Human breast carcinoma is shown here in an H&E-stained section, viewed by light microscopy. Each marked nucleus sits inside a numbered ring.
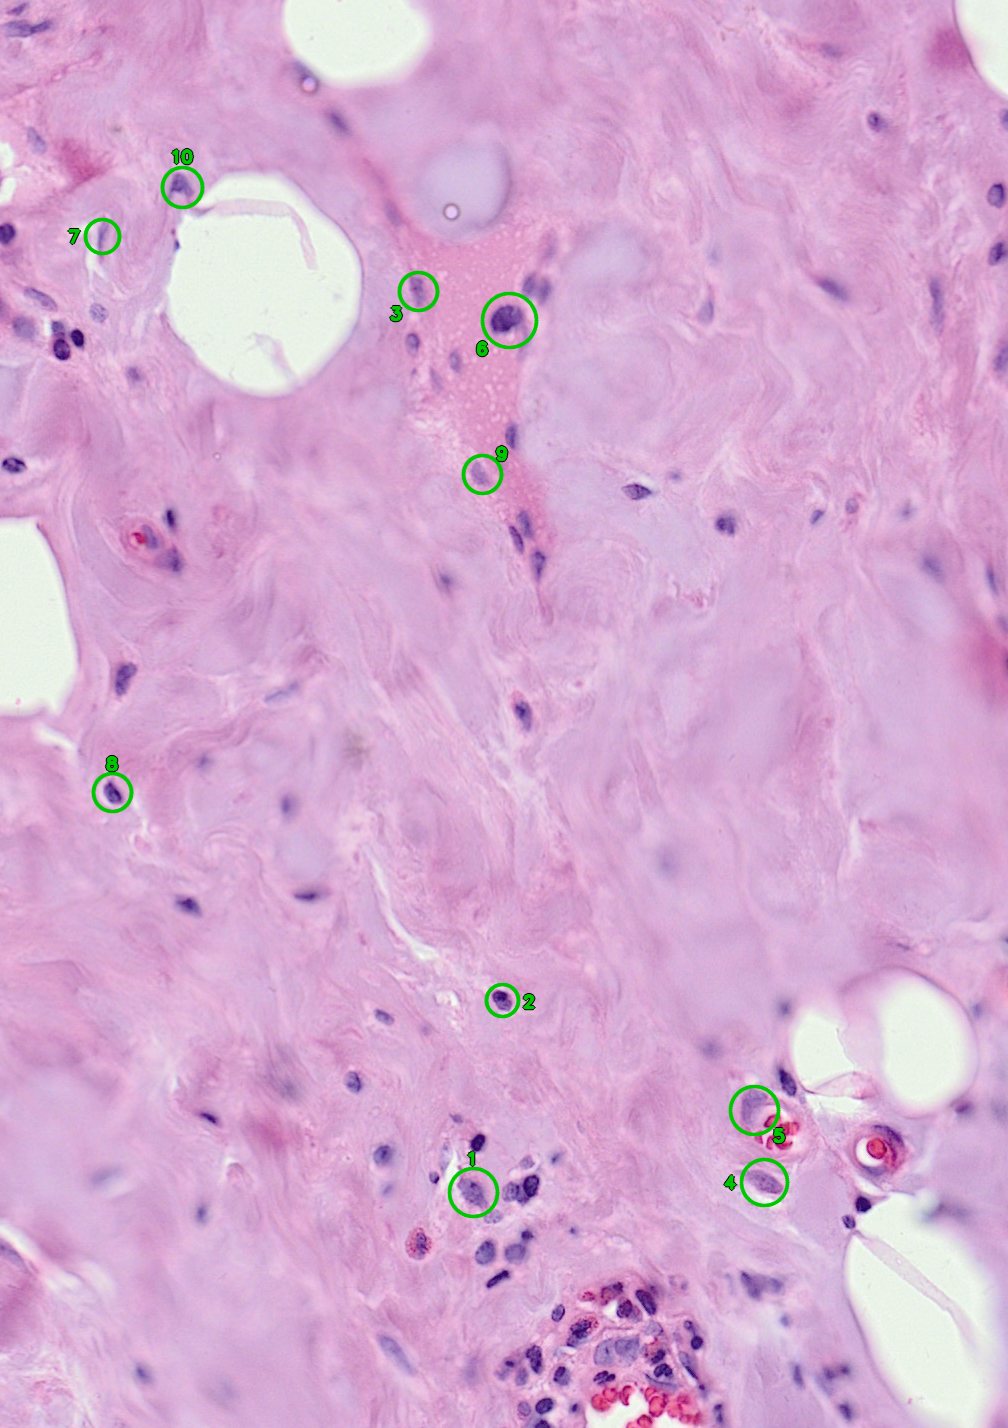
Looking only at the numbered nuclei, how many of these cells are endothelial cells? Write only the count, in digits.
1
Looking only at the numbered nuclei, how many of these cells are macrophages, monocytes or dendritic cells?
1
